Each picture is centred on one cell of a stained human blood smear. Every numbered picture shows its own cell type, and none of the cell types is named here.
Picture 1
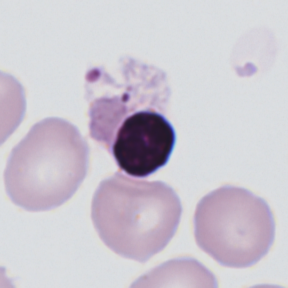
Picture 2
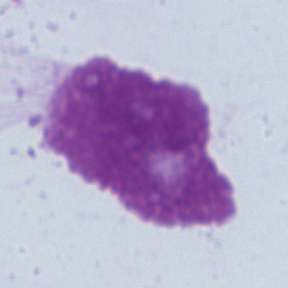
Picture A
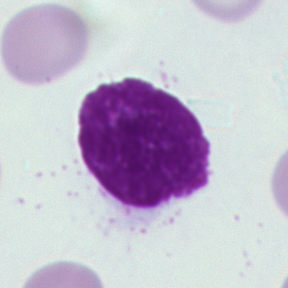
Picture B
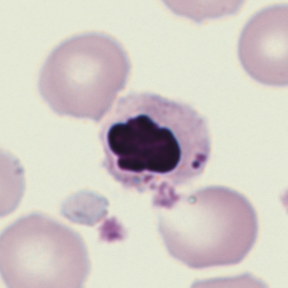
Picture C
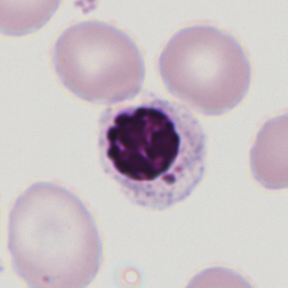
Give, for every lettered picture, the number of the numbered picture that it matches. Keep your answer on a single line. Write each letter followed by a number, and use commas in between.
A 2, B 1, C 1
